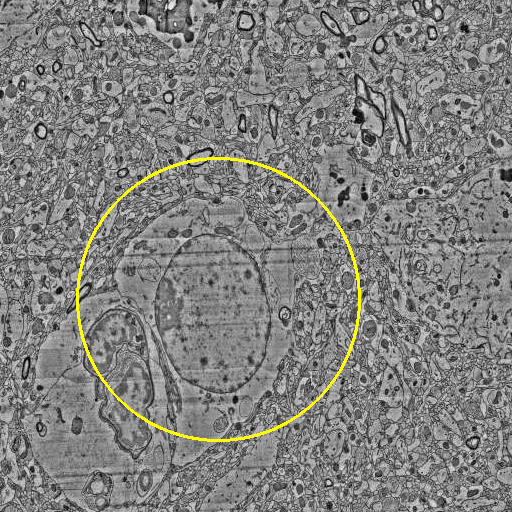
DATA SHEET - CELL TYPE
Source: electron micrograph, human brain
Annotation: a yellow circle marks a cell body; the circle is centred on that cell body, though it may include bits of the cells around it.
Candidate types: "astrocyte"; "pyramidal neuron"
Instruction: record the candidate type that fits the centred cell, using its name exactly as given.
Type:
astrocyte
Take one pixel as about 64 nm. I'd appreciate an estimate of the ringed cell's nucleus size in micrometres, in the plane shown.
The nucleus of the ringed cell is approximately 10 by 8 micrometres in this plane.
